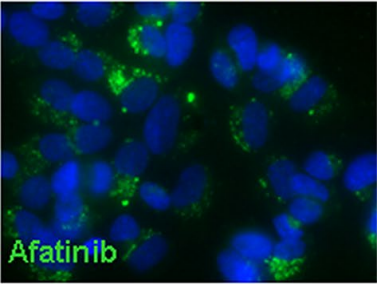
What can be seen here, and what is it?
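These are cultured cells seen by fluorescence, their oval nuclei glowing blue and fairly uniform in size, lying close together in a loose sheet. Some cells carry dense clusters of these green granules, while others have only a few, so the amount varies from cell to cell across the field.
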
